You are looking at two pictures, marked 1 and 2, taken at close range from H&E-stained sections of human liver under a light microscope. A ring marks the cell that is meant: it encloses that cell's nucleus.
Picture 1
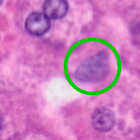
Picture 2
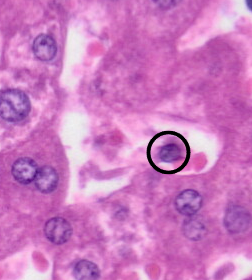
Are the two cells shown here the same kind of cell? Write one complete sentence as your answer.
Yes, both cells are Kupffer cells.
